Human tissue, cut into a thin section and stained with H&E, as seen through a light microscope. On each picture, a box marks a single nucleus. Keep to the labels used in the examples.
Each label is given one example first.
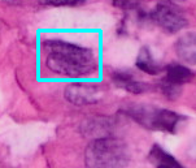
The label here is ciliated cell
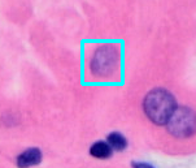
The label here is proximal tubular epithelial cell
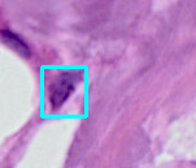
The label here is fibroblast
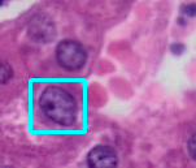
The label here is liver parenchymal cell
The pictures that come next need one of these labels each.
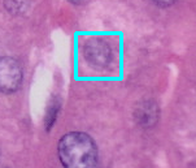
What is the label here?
liver parenchymal cell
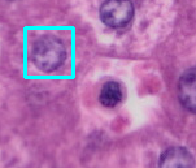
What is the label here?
liver parenchymal cell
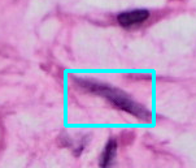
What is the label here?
fibroblast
